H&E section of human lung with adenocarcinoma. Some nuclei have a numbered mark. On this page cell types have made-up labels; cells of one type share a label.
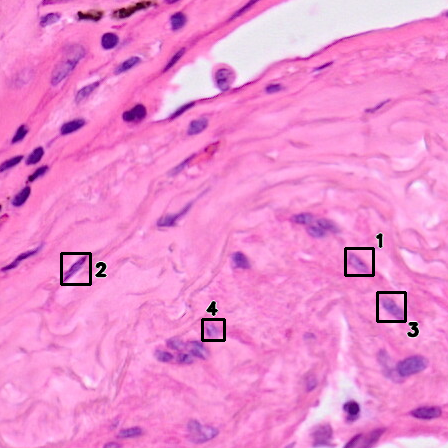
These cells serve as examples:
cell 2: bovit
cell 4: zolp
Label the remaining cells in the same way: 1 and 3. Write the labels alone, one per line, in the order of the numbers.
zolp
zolp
